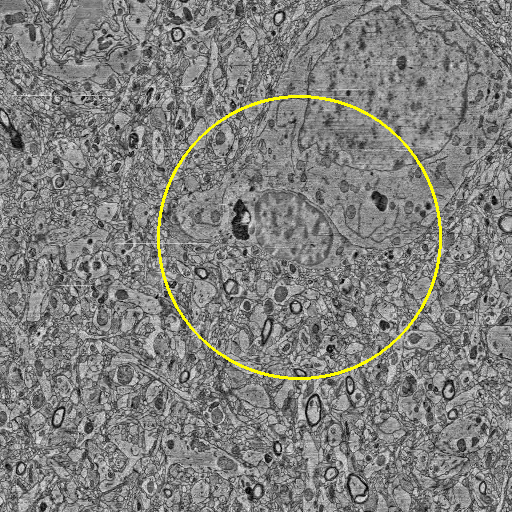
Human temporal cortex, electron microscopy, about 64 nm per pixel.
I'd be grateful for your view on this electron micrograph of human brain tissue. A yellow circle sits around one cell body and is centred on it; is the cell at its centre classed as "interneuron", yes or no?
no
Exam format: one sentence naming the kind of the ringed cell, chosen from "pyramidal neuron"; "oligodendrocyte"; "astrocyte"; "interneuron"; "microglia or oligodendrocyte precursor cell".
The cell in question here is an oligodendrocyte.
